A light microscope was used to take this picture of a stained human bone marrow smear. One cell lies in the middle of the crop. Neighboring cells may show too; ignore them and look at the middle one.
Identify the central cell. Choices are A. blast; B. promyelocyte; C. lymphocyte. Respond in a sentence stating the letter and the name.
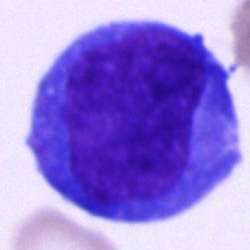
What option A states is correct, the central cell being a blast.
